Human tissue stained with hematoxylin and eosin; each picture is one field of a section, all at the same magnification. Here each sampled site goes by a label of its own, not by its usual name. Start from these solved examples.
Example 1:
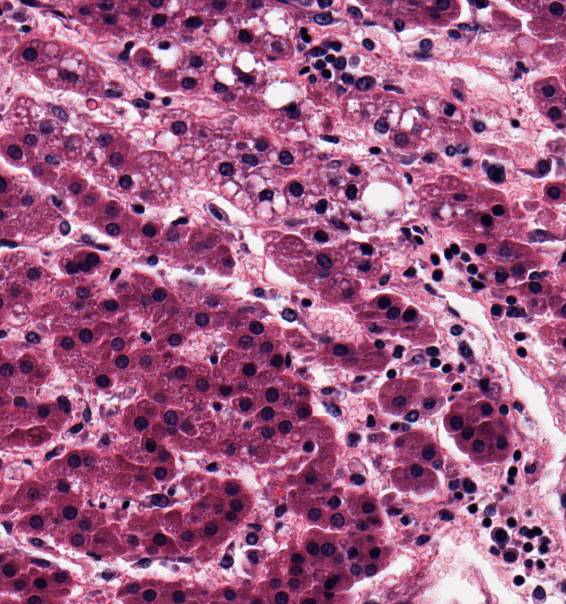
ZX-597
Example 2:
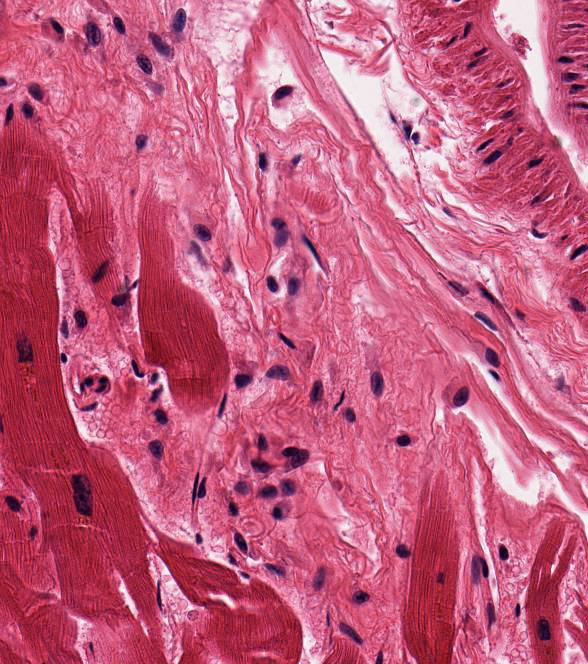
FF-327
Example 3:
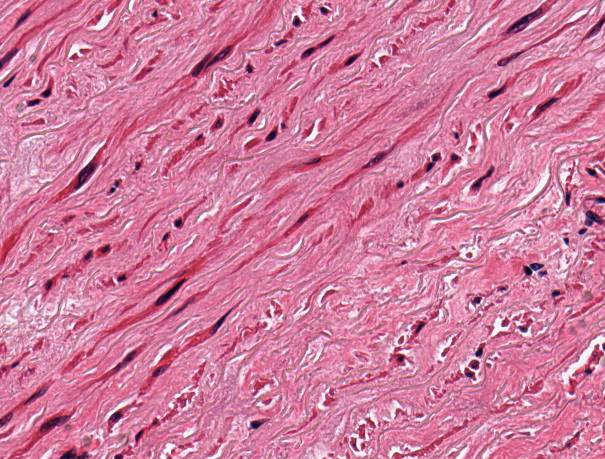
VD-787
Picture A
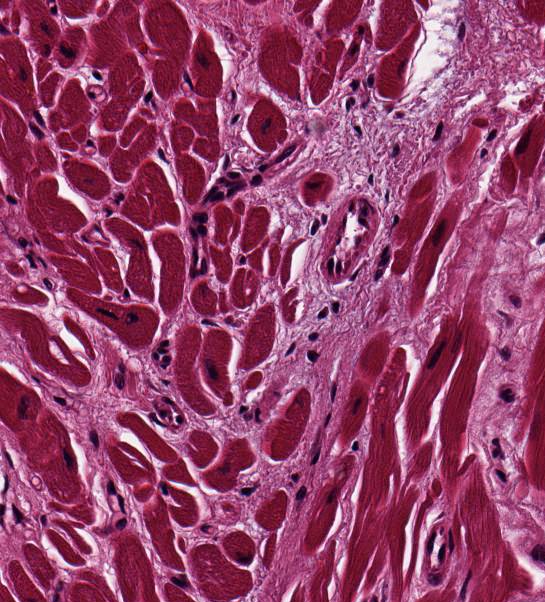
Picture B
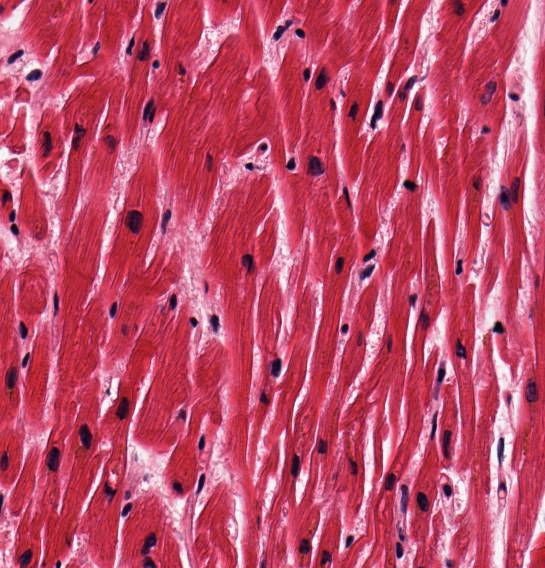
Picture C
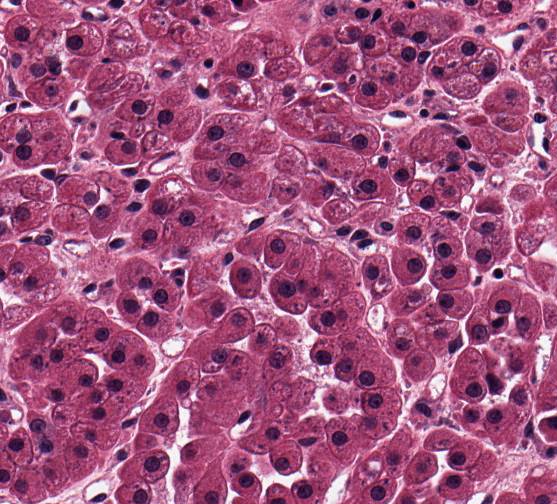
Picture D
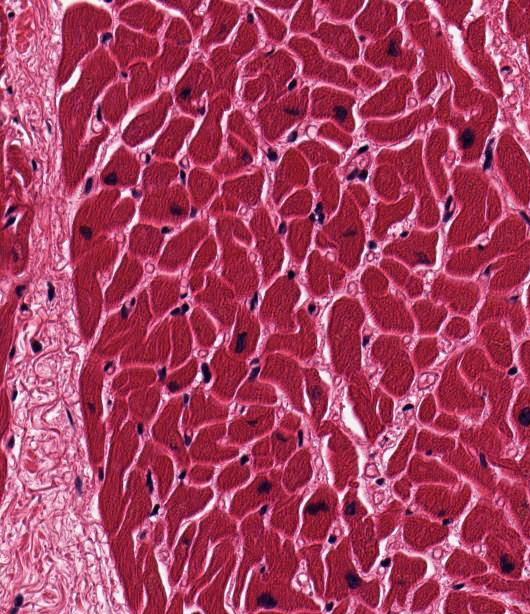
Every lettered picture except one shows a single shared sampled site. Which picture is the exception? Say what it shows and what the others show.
C: ZX-597; all the others: FF-327.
